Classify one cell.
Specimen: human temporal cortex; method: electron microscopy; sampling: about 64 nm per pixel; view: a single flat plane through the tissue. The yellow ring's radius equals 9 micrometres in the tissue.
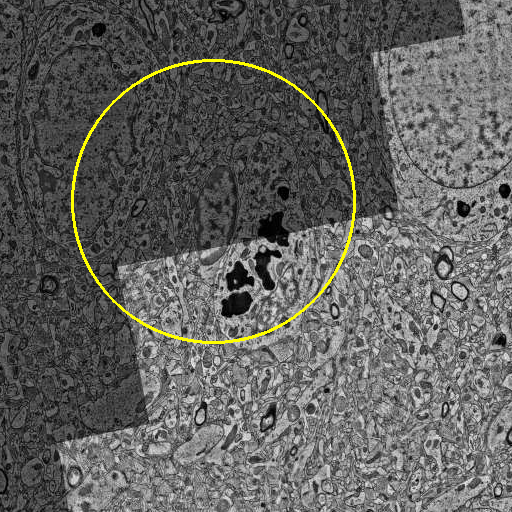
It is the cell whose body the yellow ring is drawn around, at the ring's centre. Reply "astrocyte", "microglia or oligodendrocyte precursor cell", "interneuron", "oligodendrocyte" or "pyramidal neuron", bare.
microglia or oligodendrocyte precursor cell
